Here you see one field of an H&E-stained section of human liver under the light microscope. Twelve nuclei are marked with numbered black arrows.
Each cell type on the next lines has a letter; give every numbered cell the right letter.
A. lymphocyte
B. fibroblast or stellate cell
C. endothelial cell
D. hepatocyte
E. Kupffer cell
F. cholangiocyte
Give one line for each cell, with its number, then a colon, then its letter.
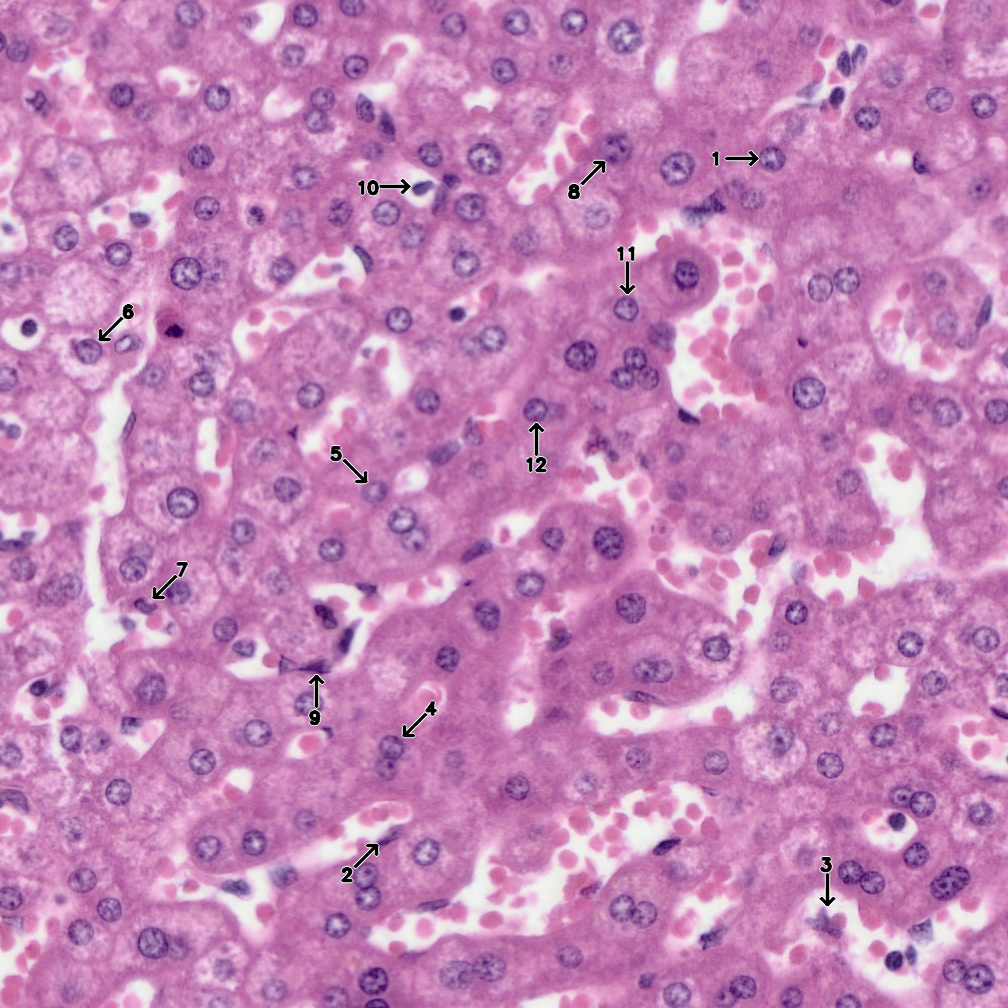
1: D
2: E
3: E
4: D
5: D
6: D
7: E
8: D
9: B
10: A
11: D
12: D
